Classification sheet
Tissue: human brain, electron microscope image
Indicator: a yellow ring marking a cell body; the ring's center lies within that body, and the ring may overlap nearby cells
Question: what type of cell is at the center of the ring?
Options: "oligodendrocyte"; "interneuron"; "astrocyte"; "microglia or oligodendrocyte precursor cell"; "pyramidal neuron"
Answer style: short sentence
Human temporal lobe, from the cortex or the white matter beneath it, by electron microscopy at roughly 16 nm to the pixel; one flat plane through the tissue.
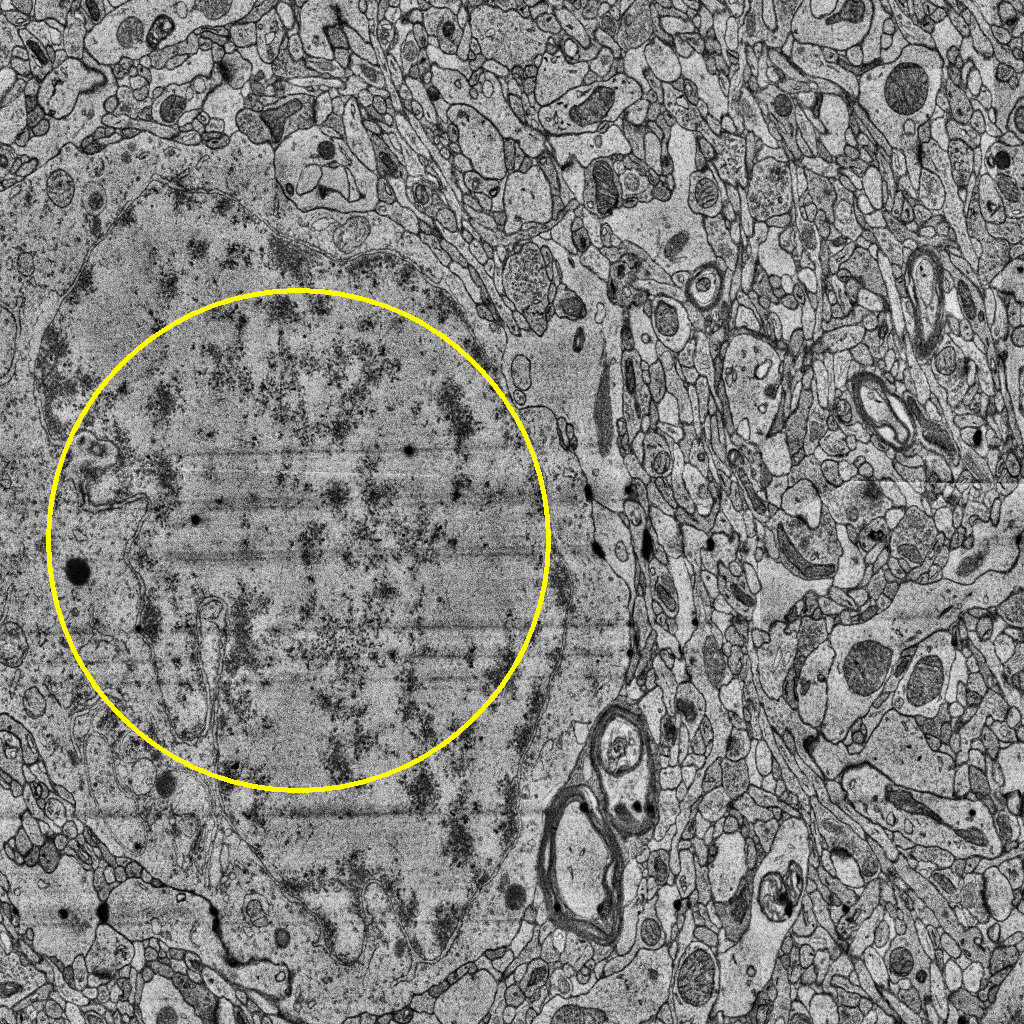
At the ring's center is an interneuron.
